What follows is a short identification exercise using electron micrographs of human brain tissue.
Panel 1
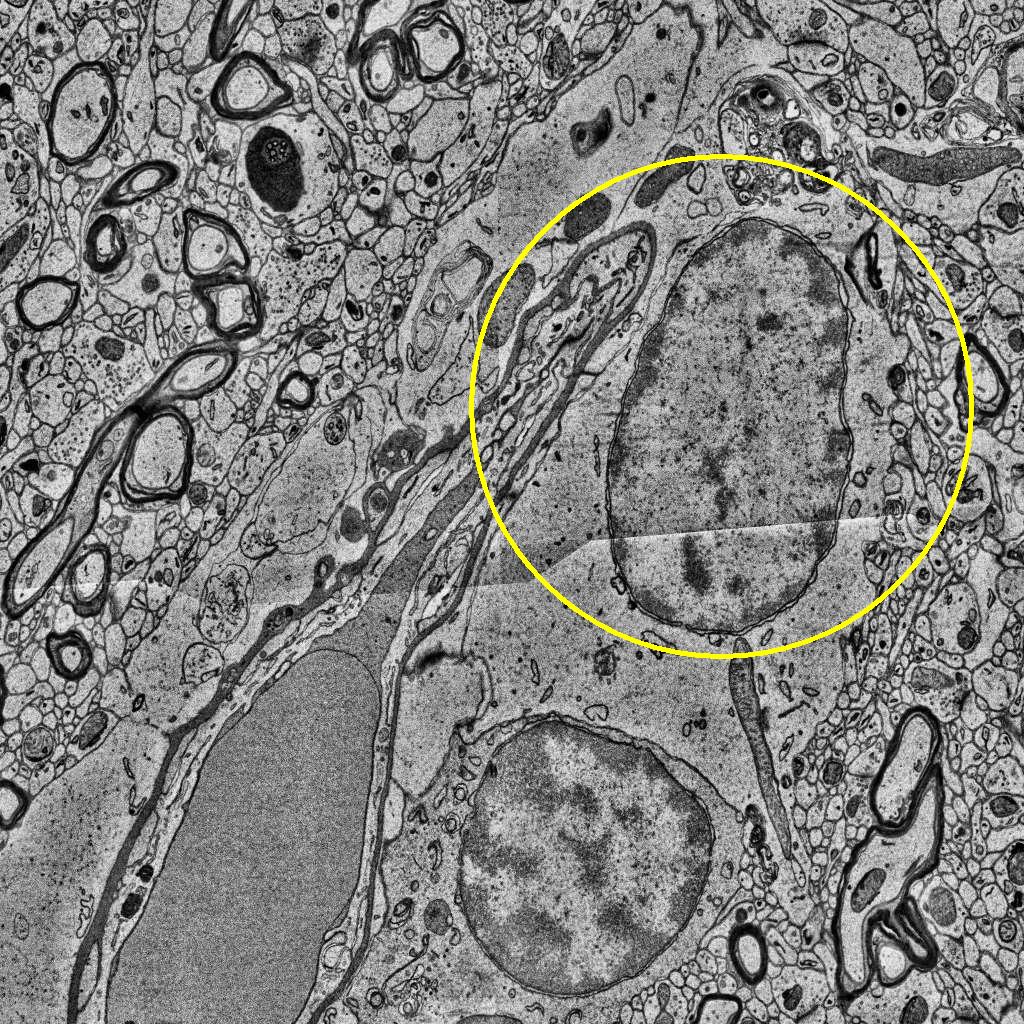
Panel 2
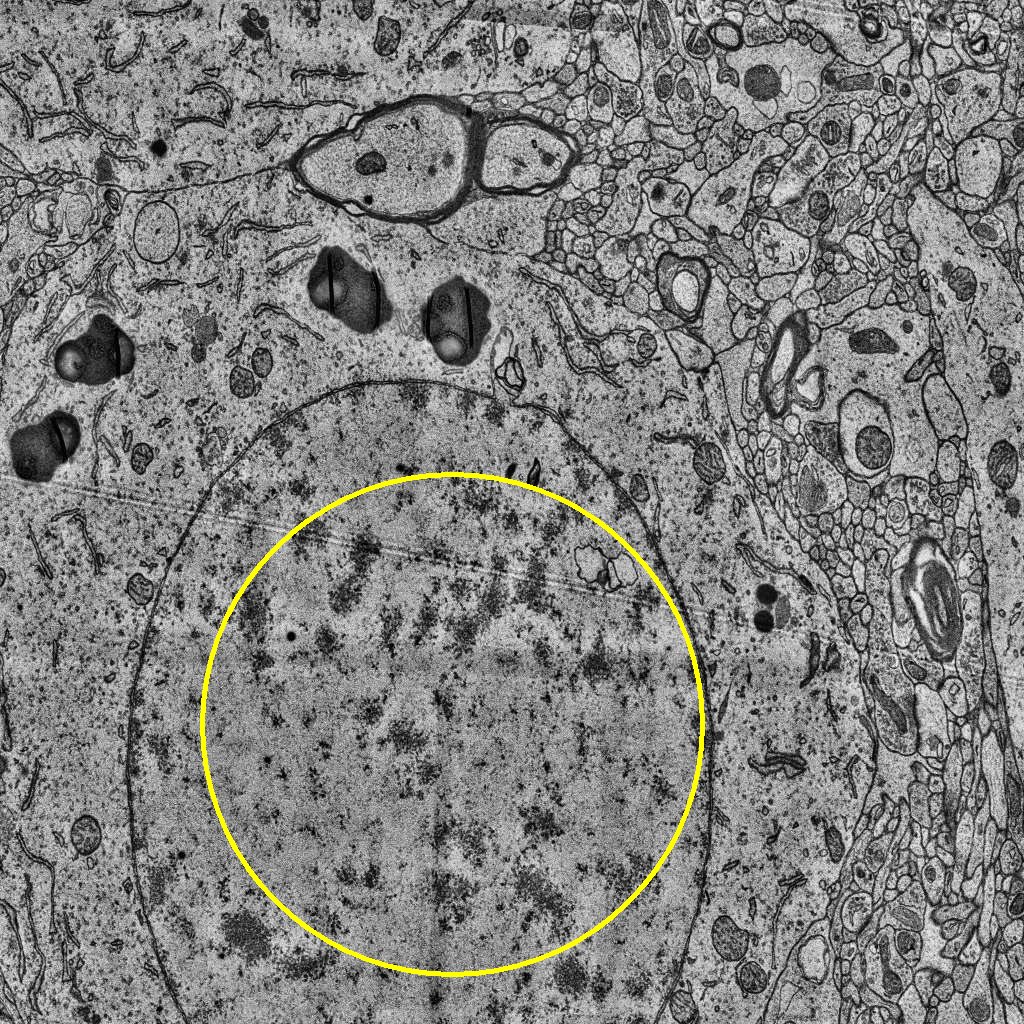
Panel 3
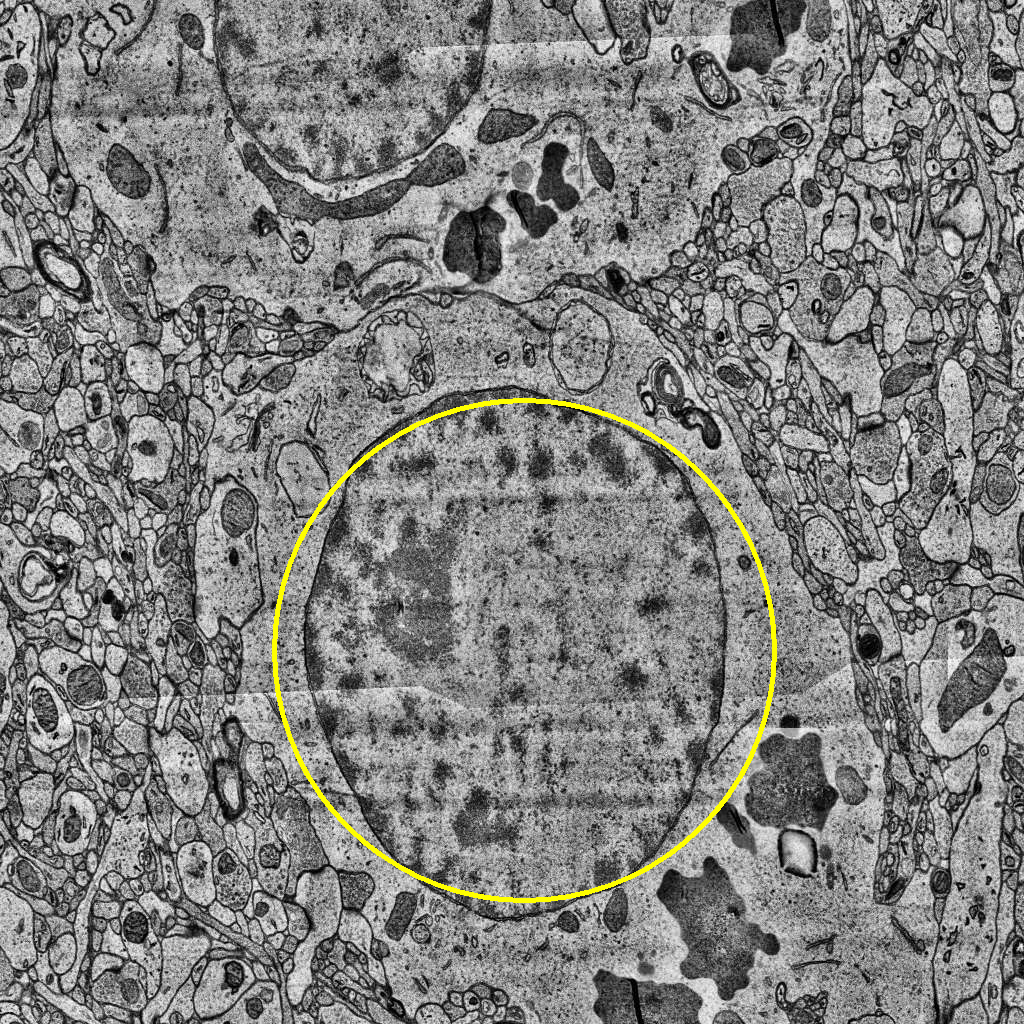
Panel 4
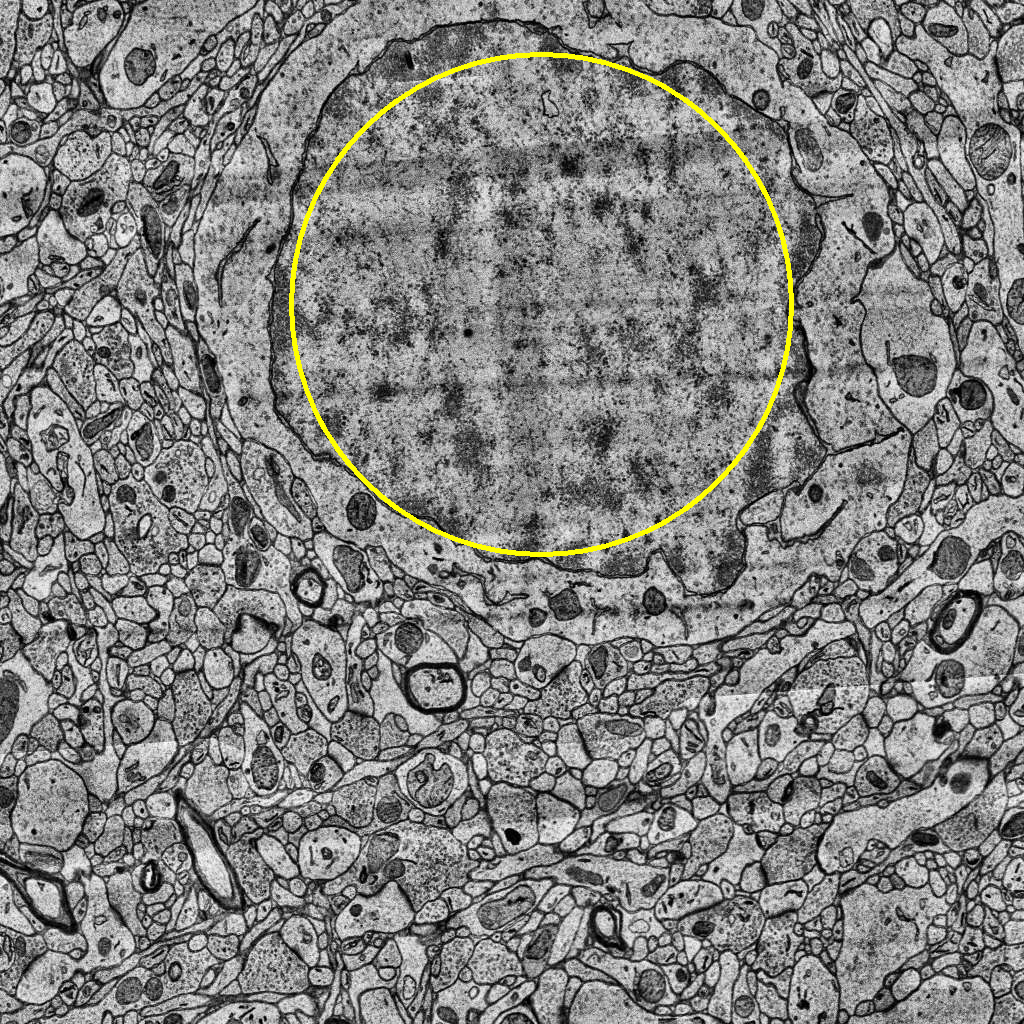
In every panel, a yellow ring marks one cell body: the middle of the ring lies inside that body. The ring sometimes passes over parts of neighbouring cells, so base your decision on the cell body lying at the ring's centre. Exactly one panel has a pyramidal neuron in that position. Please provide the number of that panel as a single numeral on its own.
2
